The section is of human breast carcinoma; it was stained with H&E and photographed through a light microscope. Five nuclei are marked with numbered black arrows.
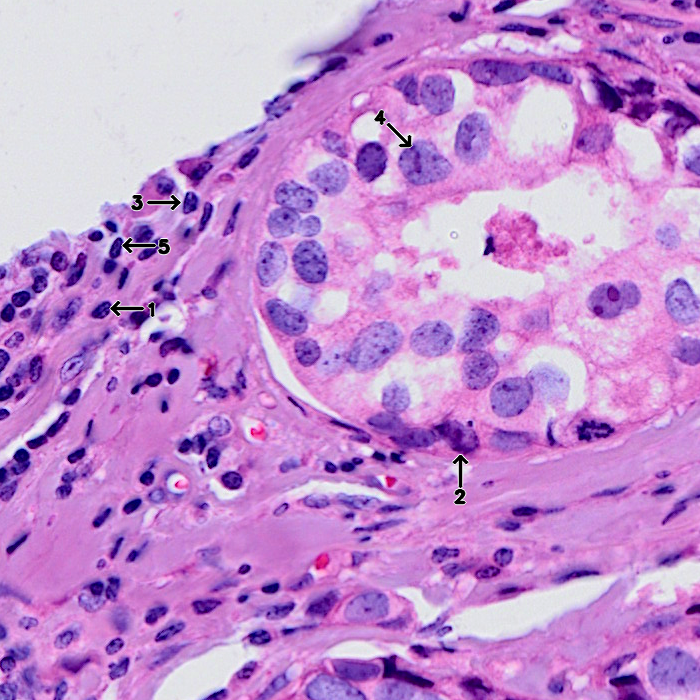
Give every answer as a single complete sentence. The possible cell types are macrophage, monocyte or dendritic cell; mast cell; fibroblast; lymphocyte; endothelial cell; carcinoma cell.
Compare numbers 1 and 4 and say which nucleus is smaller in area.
The smaller nucleus is 1, and 4 covers roughly 3 times its area.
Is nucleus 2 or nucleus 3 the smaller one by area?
Number 3 is smaller, since number 2 takes up about 3 times as much area.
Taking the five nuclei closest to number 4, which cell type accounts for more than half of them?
Carcinoma cells make up most of the five nuclei closest to number 4.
